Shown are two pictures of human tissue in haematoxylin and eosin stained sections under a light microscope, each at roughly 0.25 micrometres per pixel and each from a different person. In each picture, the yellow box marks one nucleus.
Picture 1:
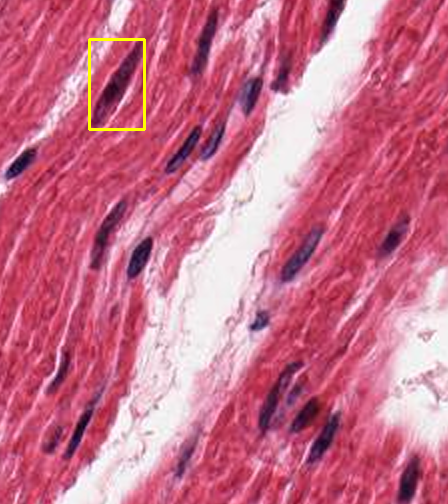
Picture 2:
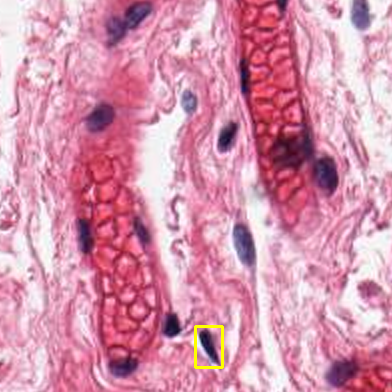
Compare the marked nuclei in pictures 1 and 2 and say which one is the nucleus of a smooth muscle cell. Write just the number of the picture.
1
